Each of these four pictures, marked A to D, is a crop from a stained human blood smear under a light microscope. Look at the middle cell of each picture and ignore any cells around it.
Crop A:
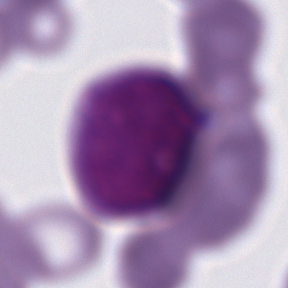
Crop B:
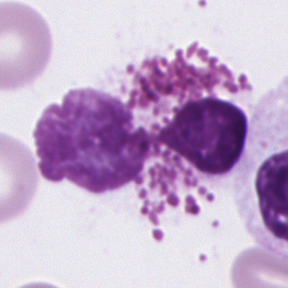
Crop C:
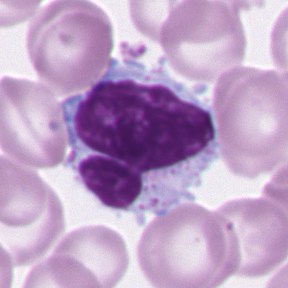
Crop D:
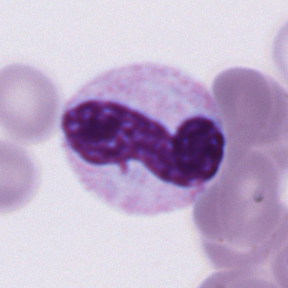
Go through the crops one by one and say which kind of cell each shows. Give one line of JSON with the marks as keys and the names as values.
{"A": "smudge cell", "B": "eosinophil", "C": "large granular lymphocyte", "D": "band neutrophil"}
